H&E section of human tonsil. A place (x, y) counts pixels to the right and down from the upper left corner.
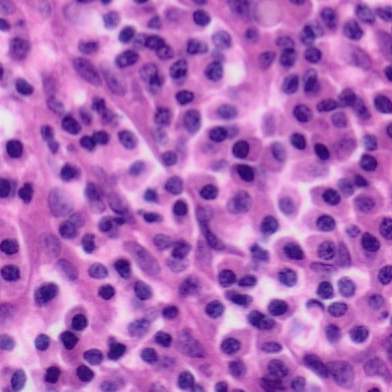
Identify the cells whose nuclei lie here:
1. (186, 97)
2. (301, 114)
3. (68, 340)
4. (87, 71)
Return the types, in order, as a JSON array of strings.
["plasma cell", "plasma cell", "plasma cell", "squamous epithelial cell"]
